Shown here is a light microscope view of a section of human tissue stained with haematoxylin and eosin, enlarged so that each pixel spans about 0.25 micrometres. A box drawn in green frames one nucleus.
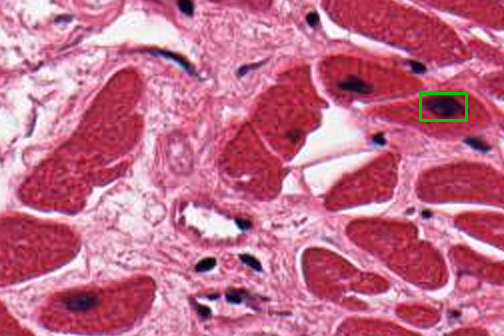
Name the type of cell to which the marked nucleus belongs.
cardiomyocyte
